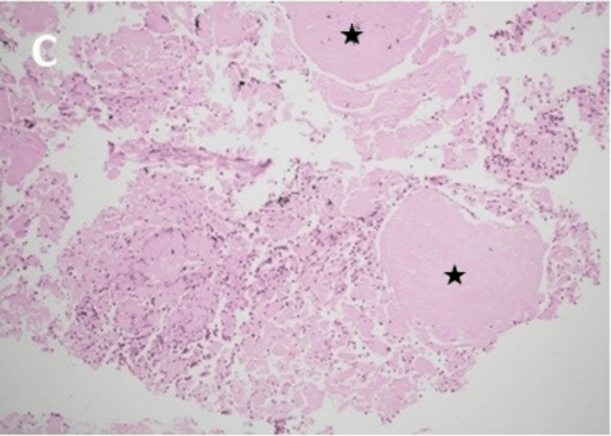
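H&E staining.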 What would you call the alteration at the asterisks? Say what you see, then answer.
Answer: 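The areas marked by the asterisks are smooth, uniformly pink and glassy. These areas contain almost no nuclei. Cell-rich tissue with scattered dark nuclei lies around them.
Homogeneous acellular eosinophilic material.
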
